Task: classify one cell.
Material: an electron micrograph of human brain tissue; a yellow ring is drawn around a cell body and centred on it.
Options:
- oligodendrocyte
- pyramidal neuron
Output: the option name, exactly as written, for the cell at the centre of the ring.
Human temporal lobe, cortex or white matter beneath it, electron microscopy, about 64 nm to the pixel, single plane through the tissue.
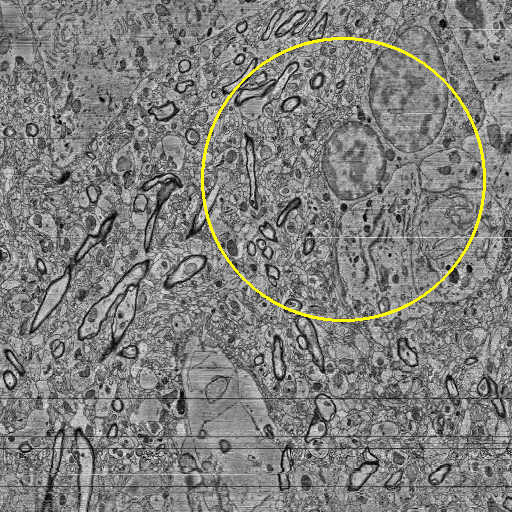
oligodendrocyte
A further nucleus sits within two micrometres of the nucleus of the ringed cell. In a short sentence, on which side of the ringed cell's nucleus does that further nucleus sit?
That other nucleus lies to the upper right of it.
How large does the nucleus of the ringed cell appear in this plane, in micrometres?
Approximately 5 micrometres long and 4 micrometres wide, in this plane.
